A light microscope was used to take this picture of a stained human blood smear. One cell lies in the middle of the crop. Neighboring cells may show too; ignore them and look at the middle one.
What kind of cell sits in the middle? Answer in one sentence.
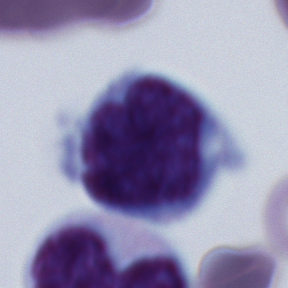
The cell at the middle of the frame should be recorded as a monocyte.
